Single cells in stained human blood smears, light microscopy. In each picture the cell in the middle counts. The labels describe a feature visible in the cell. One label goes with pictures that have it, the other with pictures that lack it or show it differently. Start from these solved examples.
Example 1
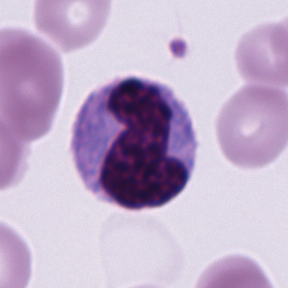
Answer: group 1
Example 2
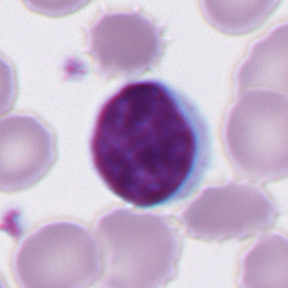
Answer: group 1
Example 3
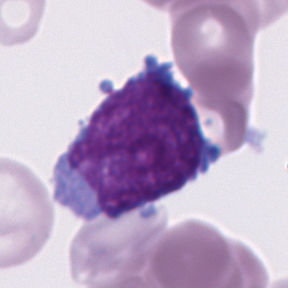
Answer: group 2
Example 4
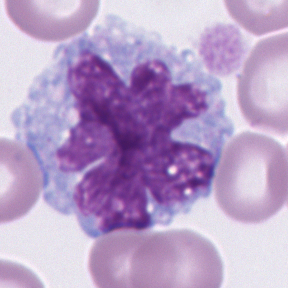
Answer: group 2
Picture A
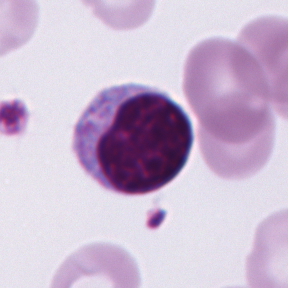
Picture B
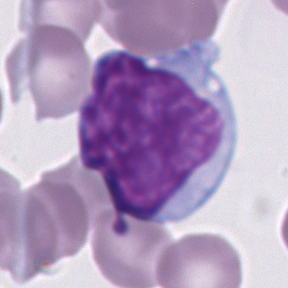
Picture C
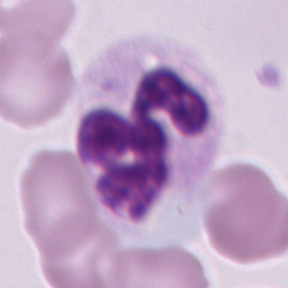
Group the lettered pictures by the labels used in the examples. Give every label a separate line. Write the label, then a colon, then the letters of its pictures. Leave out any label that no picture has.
group 1: A, C
group 2: B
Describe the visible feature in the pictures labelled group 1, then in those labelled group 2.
group 1, smooth outline; group 2, ragged outline or projections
